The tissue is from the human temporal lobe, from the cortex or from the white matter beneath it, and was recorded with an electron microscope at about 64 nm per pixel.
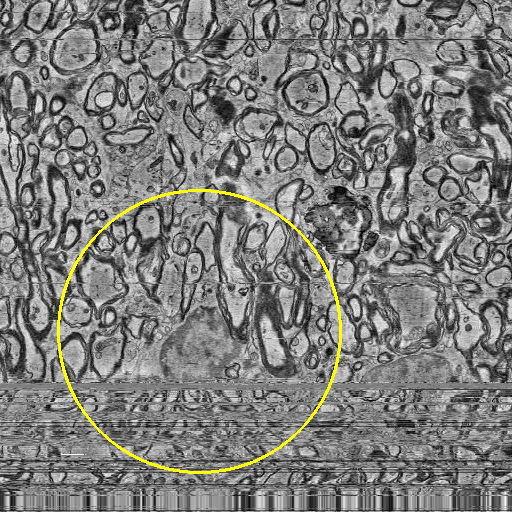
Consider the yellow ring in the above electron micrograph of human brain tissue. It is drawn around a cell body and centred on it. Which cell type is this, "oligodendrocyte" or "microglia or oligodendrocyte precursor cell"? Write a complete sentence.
The cell in question is an oligodendrocyte.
